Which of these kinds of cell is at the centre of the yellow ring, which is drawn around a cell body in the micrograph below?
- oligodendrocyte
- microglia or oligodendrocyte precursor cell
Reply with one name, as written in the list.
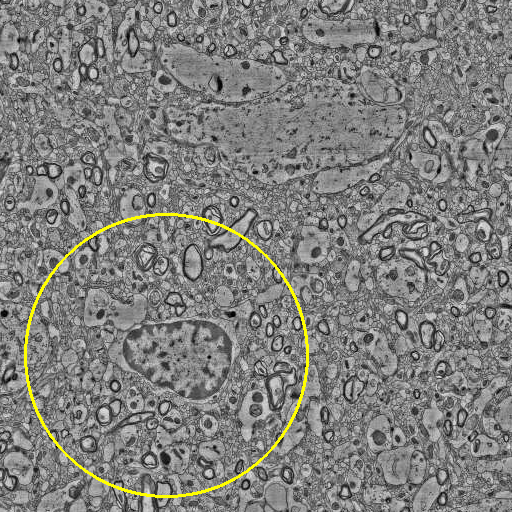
microglia or oligodendrocyte precursor cell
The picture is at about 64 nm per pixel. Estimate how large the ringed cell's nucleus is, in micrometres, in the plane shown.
Roughly 7 by 5 micrometres in this plane, for the nucleus of the ringed cell.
